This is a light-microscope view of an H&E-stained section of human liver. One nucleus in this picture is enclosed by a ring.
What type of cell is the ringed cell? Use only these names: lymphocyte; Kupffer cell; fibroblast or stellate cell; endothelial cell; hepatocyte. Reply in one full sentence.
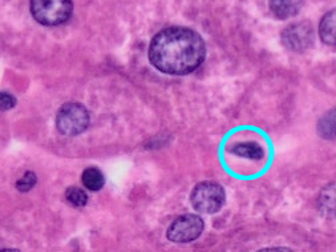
The identity of the ringed cell: it is a lymphocyte.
